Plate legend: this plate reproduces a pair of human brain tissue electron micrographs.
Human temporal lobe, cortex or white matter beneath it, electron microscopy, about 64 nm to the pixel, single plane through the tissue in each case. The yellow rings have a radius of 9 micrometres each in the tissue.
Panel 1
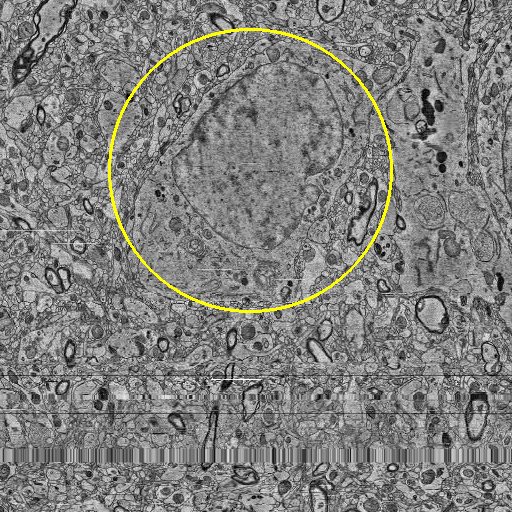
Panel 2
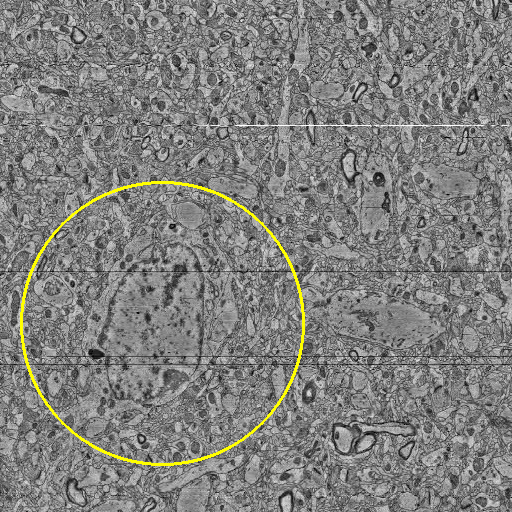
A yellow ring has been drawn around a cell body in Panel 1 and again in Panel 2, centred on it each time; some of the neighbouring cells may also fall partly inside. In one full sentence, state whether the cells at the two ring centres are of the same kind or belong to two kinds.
The ring-centred cells of Panel 1 and Panel 2 are of the same kind.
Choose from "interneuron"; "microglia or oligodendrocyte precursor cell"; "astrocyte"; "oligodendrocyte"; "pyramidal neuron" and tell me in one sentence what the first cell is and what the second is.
In each of the two pictures, the ringed cell is an interneuron.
